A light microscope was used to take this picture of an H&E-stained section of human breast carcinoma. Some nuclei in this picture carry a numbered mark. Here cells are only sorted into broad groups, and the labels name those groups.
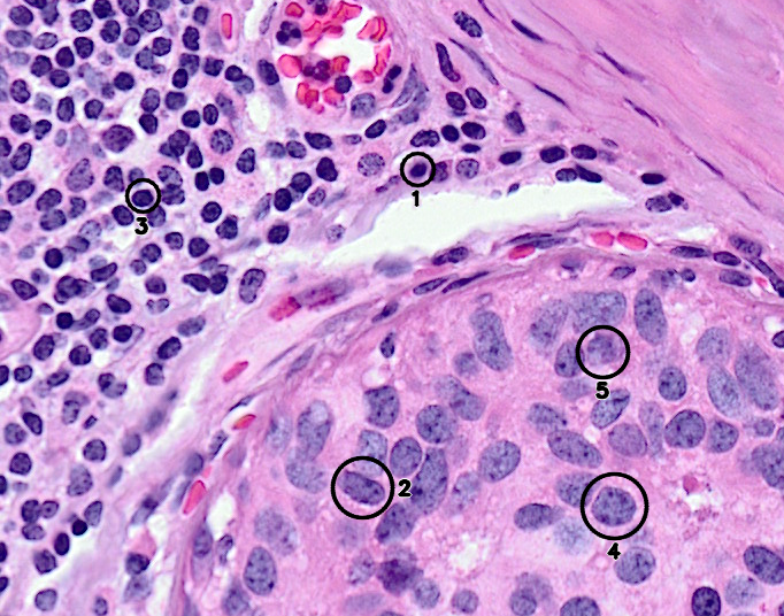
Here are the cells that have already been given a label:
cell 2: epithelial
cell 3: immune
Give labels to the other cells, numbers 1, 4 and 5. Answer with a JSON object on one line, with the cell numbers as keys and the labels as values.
{"1": "immune", "4": "epithelial", "5": "epithelial"}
